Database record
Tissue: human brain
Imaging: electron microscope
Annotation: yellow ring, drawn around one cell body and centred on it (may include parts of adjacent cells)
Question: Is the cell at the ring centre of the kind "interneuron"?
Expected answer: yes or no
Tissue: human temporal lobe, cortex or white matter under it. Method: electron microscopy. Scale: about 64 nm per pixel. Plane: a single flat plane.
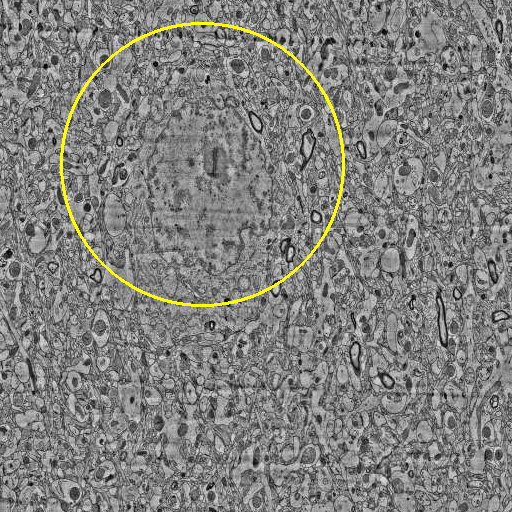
yes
